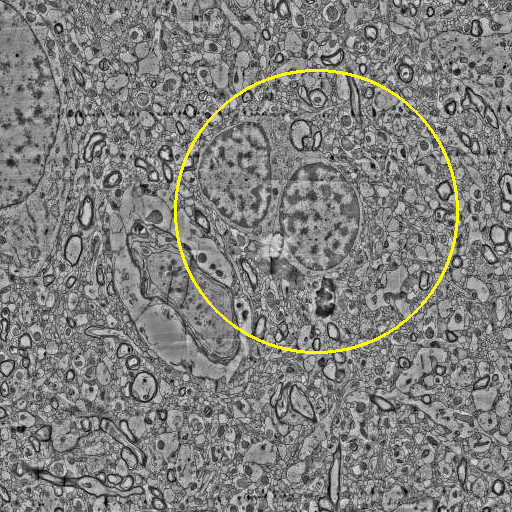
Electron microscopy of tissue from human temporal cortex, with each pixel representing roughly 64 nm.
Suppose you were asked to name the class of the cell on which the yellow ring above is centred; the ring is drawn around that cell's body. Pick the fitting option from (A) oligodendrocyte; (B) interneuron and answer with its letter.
A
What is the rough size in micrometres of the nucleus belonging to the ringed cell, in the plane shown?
Approximately 7 by 5 micrometers in this plane.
